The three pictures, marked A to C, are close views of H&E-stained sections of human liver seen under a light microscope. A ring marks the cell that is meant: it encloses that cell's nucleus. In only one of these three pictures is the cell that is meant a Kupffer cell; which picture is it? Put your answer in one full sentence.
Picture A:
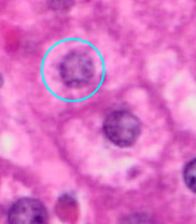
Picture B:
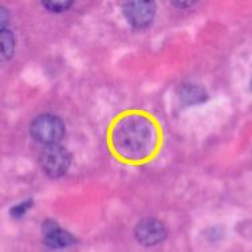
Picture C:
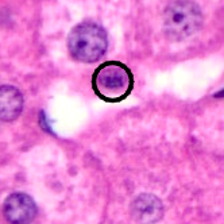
The cell in picture C is the Kupffer cell.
